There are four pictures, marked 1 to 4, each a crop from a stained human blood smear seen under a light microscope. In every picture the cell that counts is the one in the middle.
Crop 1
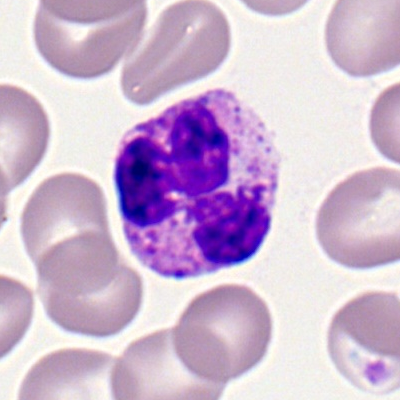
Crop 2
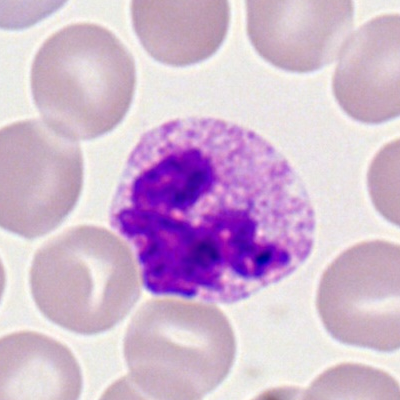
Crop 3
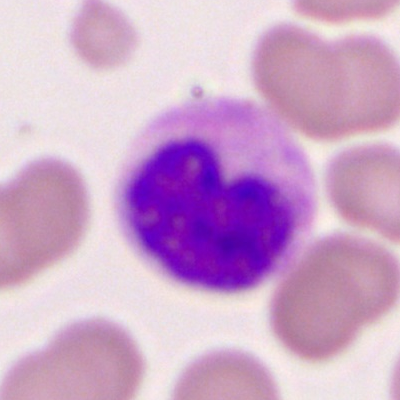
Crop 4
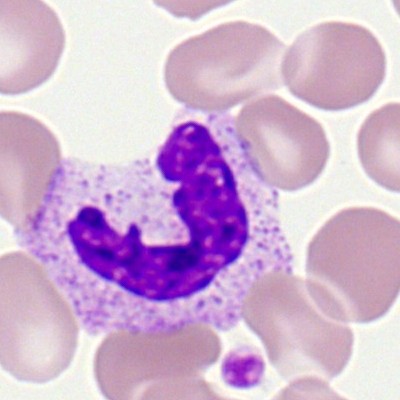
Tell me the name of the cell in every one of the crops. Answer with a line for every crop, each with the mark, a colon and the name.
1: basophil
2: basophil
3: band neutrophil
4: band neutrophil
